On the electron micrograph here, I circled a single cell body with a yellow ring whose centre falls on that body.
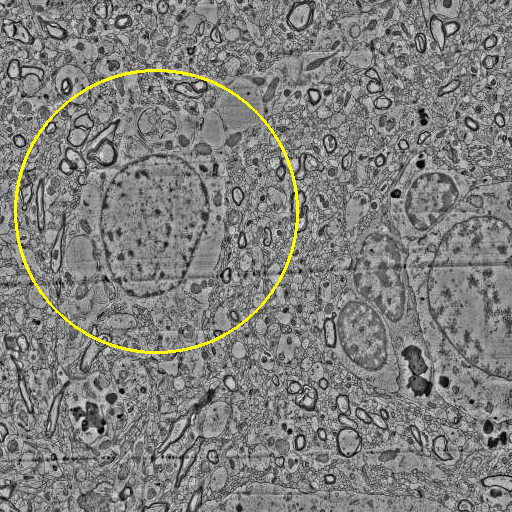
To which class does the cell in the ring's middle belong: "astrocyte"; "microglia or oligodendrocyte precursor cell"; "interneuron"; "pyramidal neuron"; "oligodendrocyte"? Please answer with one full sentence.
In this picture, the cell body circled at the ring's centre belongs to an astrocyte.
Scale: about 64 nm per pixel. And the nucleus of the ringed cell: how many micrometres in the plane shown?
In this plane the nucleus spans approximately 9 by 7 micrometers.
